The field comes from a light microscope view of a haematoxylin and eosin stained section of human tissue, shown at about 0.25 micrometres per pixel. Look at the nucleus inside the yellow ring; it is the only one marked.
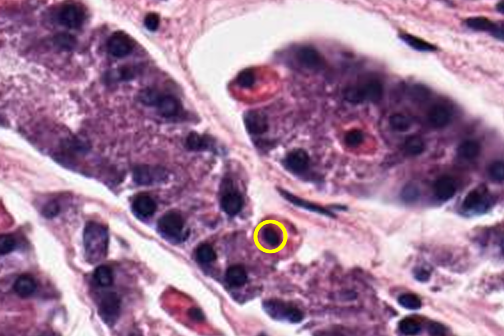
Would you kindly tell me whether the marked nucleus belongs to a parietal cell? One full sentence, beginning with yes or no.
Yes, the nucleus that has been marked is that of a parietal cell.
